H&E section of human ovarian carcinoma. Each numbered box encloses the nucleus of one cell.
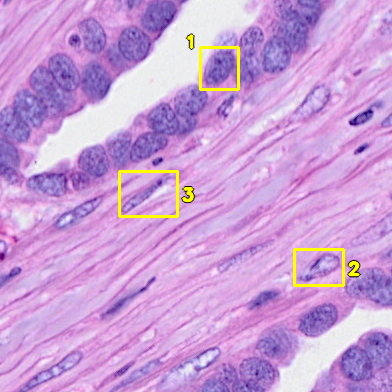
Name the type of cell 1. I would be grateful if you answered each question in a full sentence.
Within this field of view, the cell labelled 1 is a carcinoma cell.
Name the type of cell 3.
The nucleus labeled 3 belongs to a fibroblast.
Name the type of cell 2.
To a fibroblast belongs the nucleus marked 2.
